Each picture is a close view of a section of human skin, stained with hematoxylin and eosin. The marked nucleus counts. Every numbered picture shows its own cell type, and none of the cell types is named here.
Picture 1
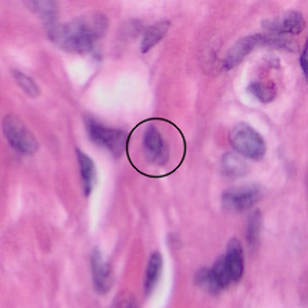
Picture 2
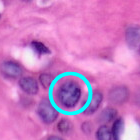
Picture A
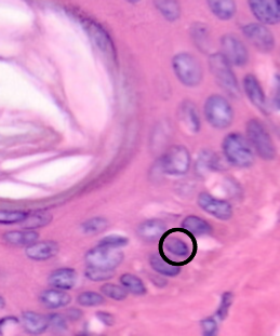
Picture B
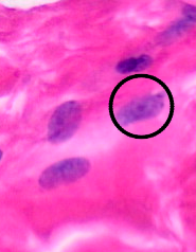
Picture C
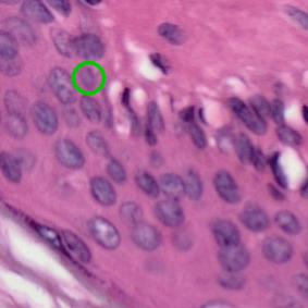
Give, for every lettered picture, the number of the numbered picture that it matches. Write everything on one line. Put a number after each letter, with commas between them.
A 2, B 1, C 2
